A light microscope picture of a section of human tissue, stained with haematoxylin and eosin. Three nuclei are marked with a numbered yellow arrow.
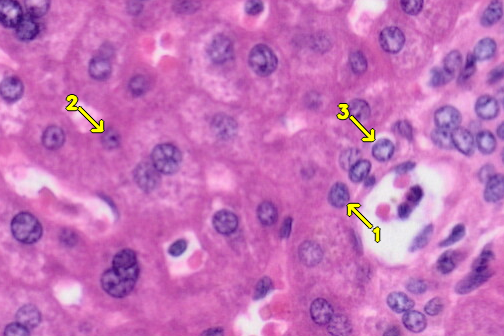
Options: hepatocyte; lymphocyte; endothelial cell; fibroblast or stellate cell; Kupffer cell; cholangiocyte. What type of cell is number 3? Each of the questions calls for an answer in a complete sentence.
Cell 3 of the marked set is a cholangiocyte.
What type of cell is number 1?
The nucleus labeled 1 belongs to a cholangiocyte.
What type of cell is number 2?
Belonging to a hepatocyte is the nucleus that carries the number 2.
